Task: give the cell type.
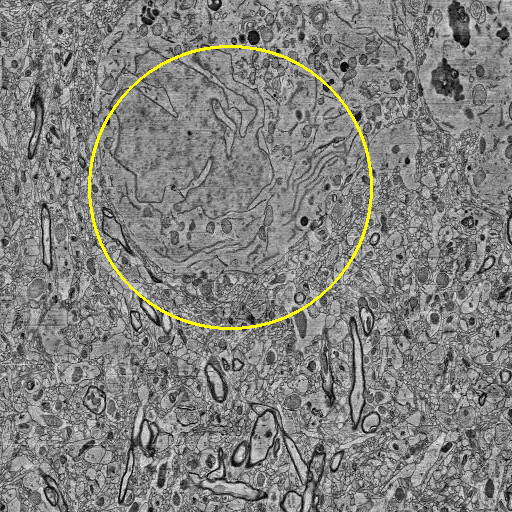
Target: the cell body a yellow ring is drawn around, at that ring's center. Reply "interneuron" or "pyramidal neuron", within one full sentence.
In this picture, the cell whose body lies at the ring's center is an interneuron.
